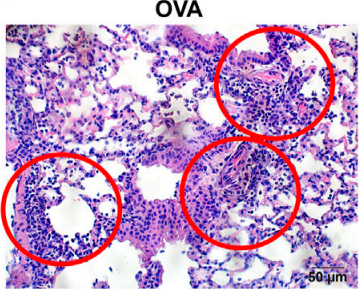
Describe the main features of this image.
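Lung with bronchioles and surrounding alveolar parenchyma, H&E. Several airways lined by a pink cuboidal-to-columnar epithelium with basal dark-blue nuclei. Around the airways and adjacent vessels lie dense cuffs of small round cells with dark, compact nuclei and scant cytoplasm, crowding the peribronchiolar tissue. Alveolar septa nearby appear thickened and more cellular than normal. Pink fibrous walls of vessels sit within the infiltrated areas.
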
